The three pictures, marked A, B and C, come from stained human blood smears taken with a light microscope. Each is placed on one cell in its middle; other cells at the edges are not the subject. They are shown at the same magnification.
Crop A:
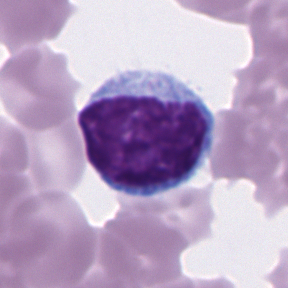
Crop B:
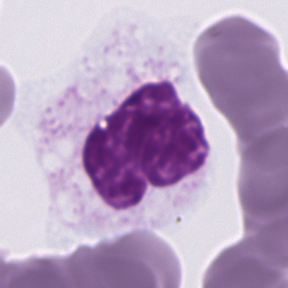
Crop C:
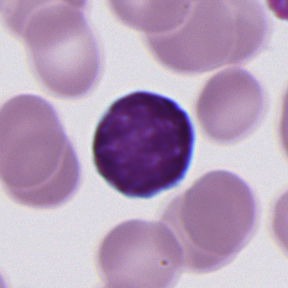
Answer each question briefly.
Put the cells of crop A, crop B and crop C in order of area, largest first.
B, A, C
